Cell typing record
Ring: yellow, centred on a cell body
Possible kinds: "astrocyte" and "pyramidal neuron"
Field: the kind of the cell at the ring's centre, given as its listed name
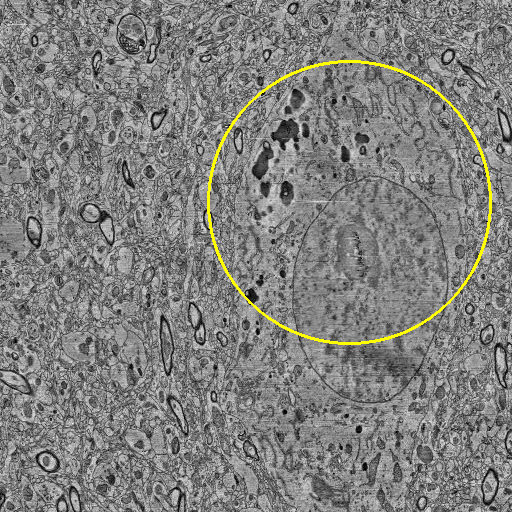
pyramidal neuron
